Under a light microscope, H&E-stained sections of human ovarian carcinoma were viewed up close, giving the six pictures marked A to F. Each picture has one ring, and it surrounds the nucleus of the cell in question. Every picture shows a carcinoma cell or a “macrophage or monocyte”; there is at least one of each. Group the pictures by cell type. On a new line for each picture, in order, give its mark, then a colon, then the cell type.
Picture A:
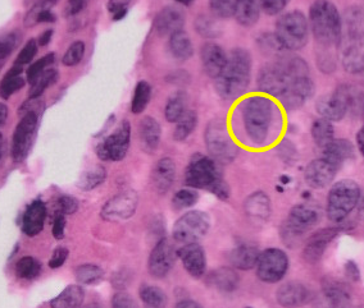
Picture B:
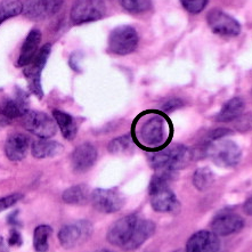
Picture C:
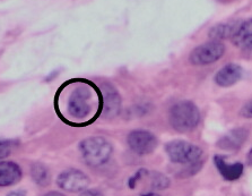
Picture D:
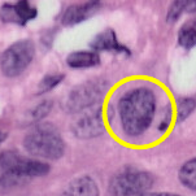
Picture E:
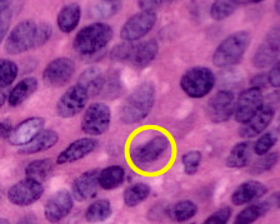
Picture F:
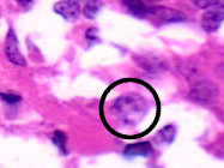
A: carcinoma cell
B: carcinoma cell
C: macrophage or monocyte
D: carcinoma cell
E: carcinoma cell
F: macrophage or monocyte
